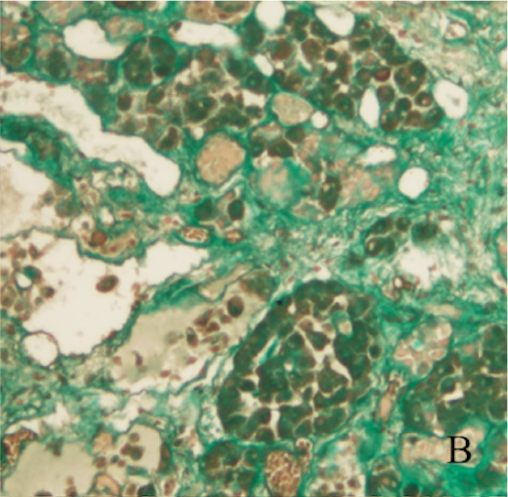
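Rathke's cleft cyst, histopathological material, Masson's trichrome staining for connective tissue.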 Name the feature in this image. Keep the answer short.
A: gland cell nests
